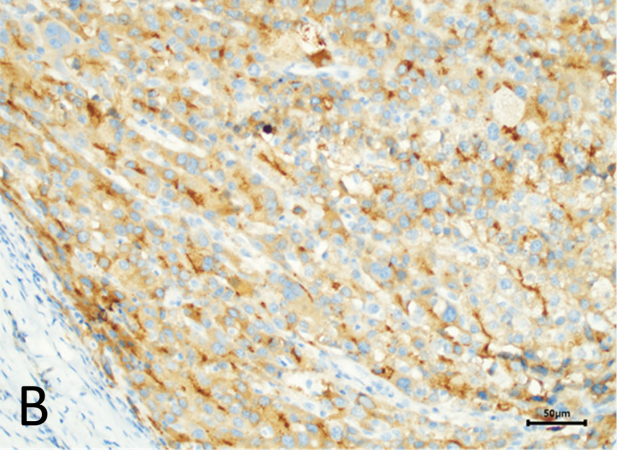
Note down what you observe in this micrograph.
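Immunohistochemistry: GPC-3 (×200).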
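Sheets of polygonal tumour cells of hepatocellular type with brown staining in the cytoplasm, stronger along cell borders, and blue counterstained nuclei. The fibrous stroma at the lower left is unstained and shows only blue spindle nuclei.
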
